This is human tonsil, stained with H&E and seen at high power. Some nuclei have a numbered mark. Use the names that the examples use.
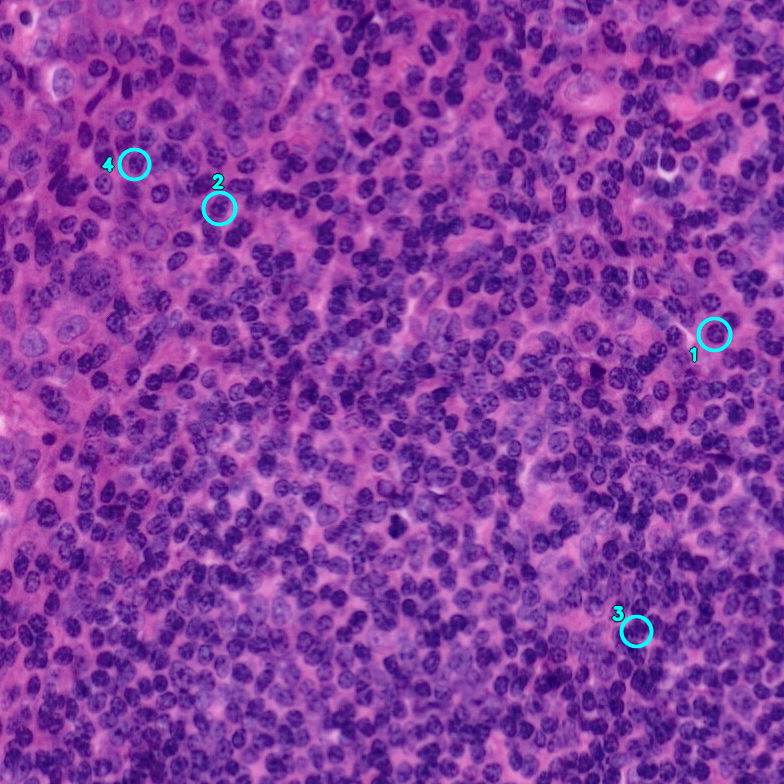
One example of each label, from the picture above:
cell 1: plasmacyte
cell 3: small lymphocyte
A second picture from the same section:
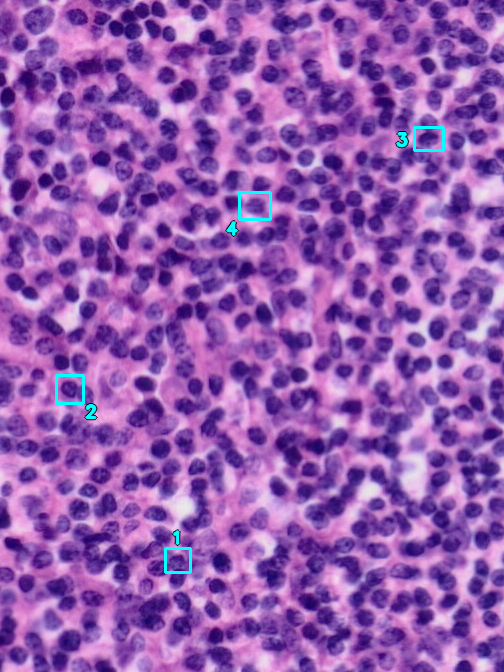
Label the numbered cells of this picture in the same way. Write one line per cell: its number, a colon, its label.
1: small lymphocyte
2: plasmacyte
3: small lymphocyte
4: small lymphocyte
